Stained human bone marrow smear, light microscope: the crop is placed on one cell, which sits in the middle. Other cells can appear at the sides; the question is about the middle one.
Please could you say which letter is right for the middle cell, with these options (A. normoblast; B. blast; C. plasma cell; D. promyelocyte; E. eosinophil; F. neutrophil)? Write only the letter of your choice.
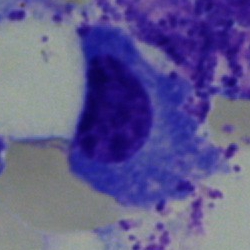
C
